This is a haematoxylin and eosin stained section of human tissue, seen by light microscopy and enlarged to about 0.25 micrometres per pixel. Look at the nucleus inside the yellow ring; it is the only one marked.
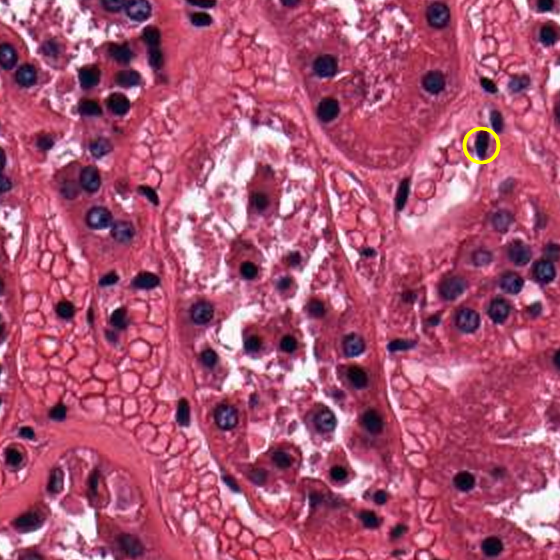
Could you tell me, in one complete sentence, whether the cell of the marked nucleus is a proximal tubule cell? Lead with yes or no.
No, the marked nucleus lies within a supporting cell, not within a proximal tubule cell.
